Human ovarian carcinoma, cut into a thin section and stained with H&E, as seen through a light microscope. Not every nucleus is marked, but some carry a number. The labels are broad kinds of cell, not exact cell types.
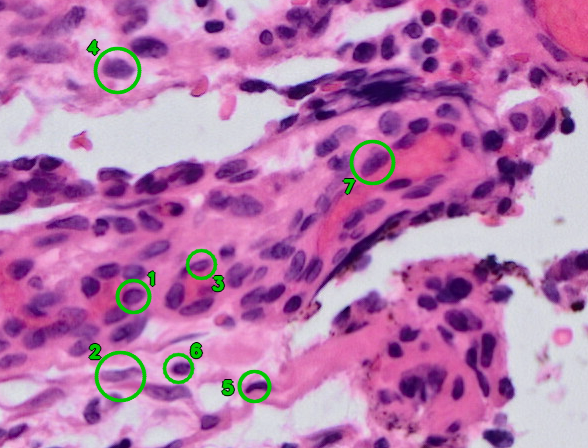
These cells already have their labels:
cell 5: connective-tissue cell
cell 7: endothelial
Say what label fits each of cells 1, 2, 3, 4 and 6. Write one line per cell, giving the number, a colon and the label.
1: endothelial
2: connective-tissue cell
3: endothelial
4: connective-tissue cell
6: connective-tissue cell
